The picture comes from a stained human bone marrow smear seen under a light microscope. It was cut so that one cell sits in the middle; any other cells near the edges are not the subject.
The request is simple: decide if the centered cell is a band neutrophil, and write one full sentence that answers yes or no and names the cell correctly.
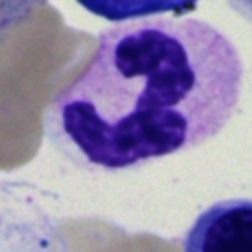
No, this one is a segmented neutrophil; it is not a band neutrophil.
